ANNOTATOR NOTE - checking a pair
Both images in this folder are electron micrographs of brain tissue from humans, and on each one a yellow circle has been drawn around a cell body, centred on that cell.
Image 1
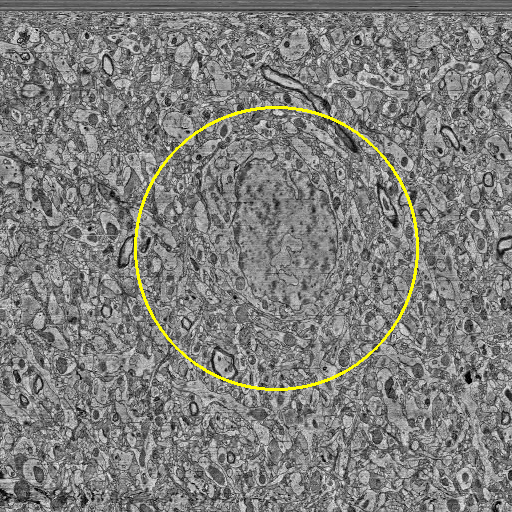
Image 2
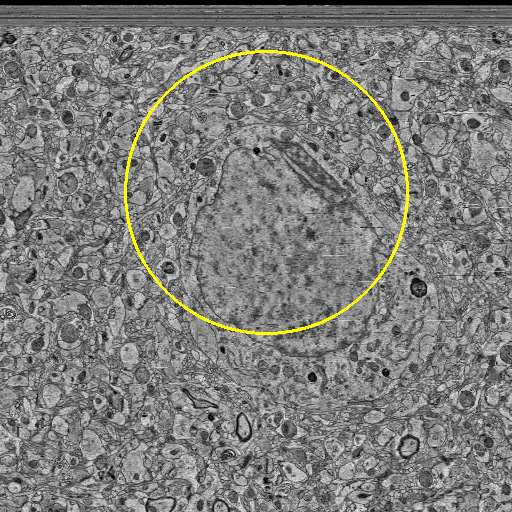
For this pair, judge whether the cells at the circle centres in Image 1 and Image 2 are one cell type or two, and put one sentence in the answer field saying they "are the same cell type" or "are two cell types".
For this pair, the cells at the circle centres in Images 1 and 2 are the same cell type.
